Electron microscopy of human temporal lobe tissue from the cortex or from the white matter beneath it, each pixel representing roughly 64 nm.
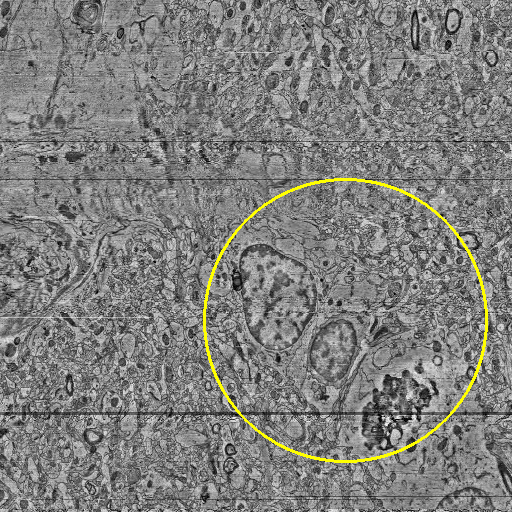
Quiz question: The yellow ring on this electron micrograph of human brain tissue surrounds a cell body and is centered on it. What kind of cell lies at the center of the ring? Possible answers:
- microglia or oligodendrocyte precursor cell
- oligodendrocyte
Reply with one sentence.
The ring's center lies on an oligodendrocyte.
